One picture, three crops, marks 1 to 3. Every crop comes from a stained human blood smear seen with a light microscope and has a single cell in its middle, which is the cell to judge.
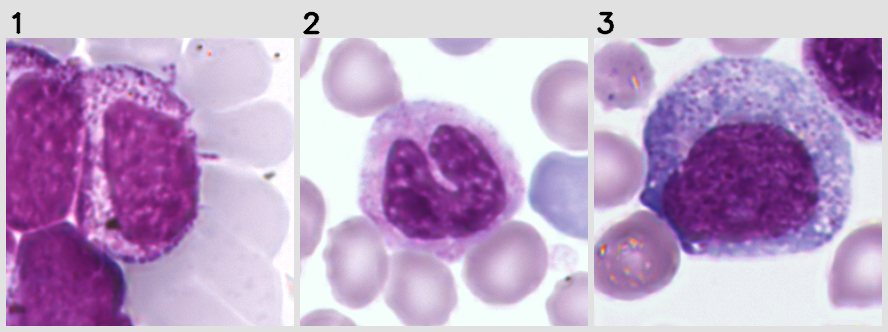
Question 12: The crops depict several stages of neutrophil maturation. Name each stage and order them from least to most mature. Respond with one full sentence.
Maturity increases along the sequence crop 3 (a promyelocyte), crop 1 (a myelocyte) and crop 2 (a band neutrophil).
